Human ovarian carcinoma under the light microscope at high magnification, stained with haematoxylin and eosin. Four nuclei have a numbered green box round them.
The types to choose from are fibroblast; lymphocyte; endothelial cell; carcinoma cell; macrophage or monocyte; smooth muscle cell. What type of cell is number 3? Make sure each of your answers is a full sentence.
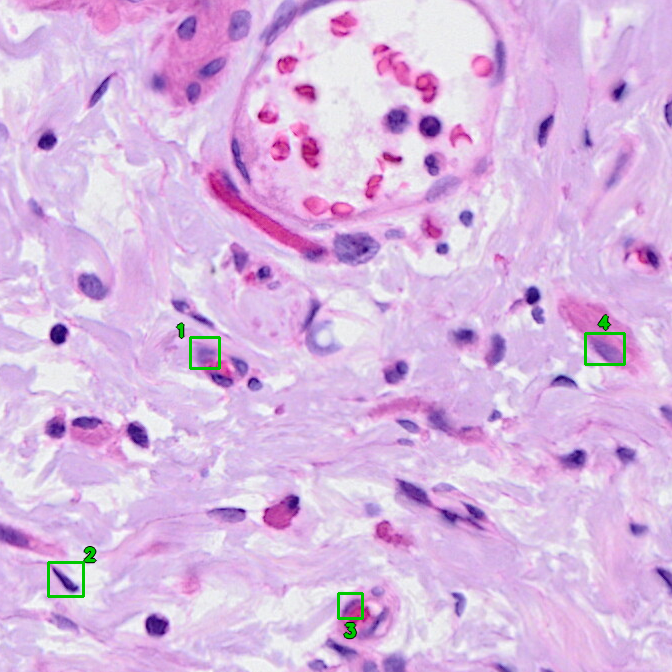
Among the marked cells, number 3 is an endothelial cell.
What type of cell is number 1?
The cell that bears the number 1 is an endothelial cell.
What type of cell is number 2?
The cell that carries the label 2 is a fibroblast.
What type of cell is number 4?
In the marked set, the cell given number 4 is a smooth muscle cell.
